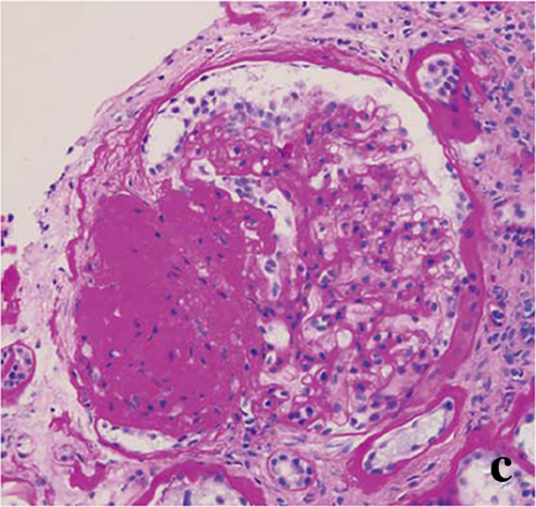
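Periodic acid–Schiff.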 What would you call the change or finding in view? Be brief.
Segmental consolidation.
